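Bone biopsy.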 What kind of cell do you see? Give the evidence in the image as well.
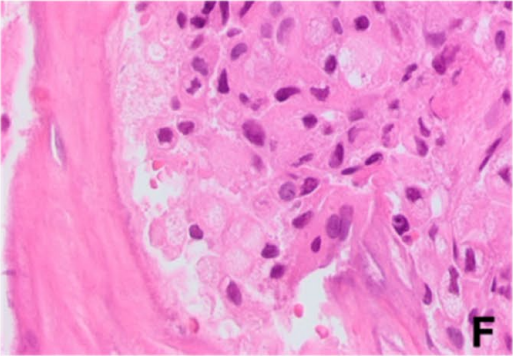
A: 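Signet ring cell. Tumour cells with pale, vacuolated cytoplasm. Dark nuclei pushed to the edge of several cells. The cells lie against a dense pink bone trabecula.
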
